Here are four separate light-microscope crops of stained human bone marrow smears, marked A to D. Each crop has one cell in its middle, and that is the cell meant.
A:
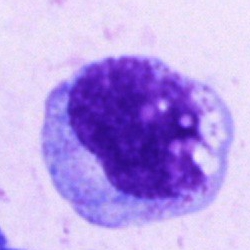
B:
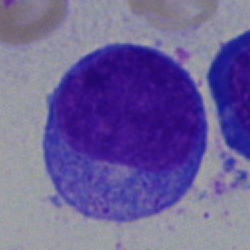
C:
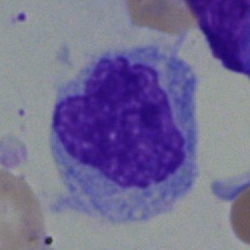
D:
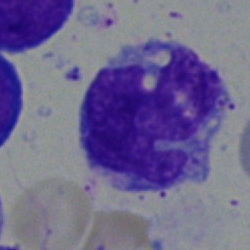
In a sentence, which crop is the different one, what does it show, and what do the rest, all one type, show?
Crop B differs: it is a promyelocyte, and all the other crops show monocytes.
